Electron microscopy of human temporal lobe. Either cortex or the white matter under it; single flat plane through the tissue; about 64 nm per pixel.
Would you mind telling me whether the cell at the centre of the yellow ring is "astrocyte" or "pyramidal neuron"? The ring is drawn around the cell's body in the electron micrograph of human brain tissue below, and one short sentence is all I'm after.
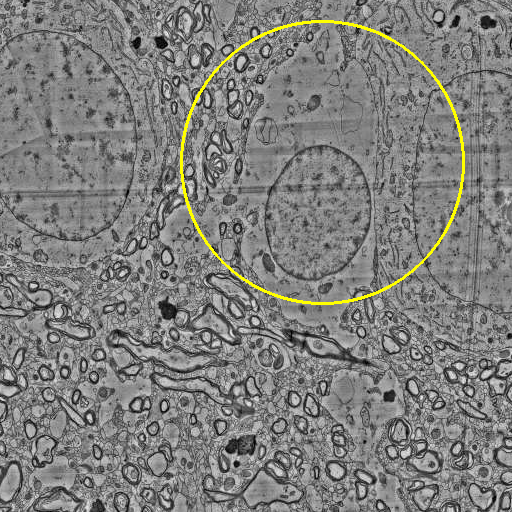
In the centre of the ring lies an astrocyte.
